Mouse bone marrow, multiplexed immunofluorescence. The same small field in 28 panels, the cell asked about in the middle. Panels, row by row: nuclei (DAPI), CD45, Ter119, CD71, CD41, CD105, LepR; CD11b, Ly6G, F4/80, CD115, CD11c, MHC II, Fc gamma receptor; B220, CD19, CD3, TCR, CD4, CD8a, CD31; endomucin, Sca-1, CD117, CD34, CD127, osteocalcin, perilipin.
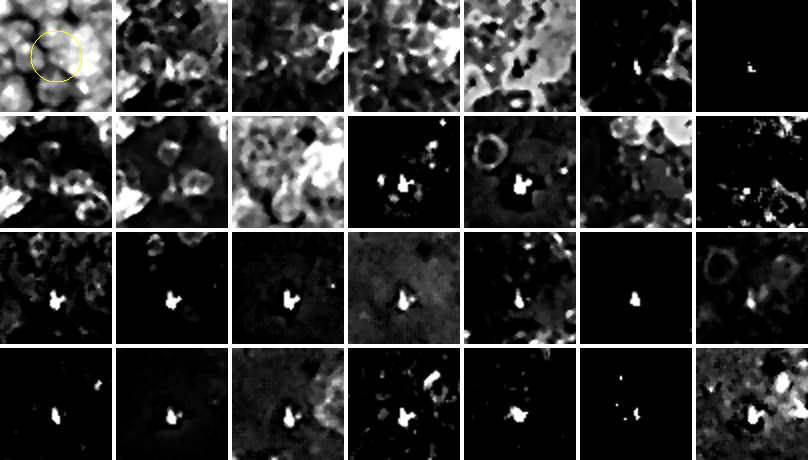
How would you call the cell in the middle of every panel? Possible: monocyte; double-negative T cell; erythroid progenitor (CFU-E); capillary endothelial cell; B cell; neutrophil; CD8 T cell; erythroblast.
I would call it an erythroblast.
